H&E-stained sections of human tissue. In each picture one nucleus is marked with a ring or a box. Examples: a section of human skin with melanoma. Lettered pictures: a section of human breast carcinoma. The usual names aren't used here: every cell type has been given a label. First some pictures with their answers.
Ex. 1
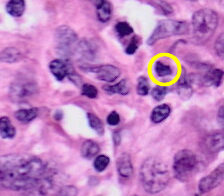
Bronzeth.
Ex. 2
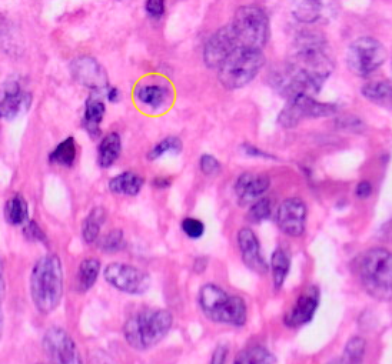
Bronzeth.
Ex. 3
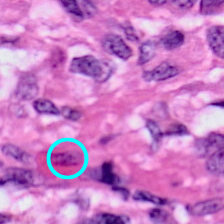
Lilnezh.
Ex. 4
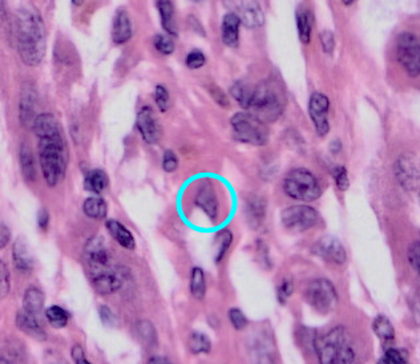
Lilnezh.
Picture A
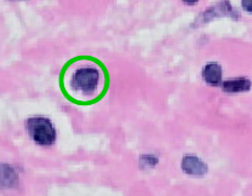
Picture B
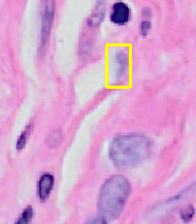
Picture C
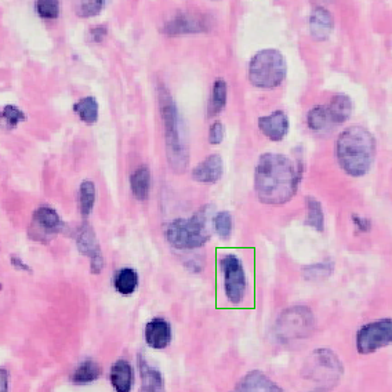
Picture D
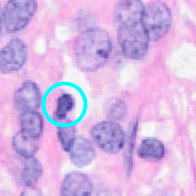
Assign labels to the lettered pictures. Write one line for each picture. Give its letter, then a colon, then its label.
A: Bronzeth.
B: Lilnezh.
C: Bronzeth.
D: Bronzeth.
